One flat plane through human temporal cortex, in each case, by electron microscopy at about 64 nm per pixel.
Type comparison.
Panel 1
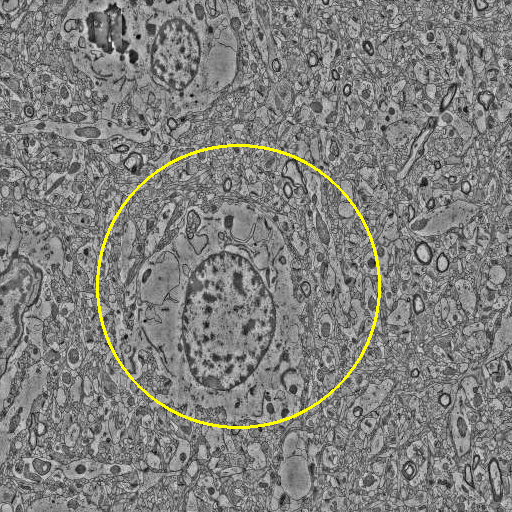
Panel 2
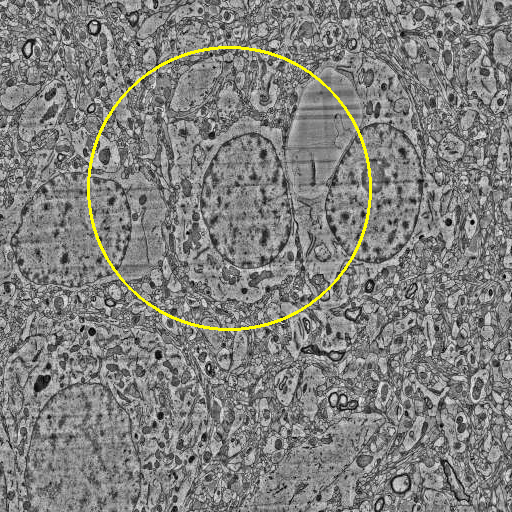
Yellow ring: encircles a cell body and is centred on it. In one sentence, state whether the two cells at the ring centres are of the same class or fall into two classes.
In these panels, the two cells at the ring centres are of the same class.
